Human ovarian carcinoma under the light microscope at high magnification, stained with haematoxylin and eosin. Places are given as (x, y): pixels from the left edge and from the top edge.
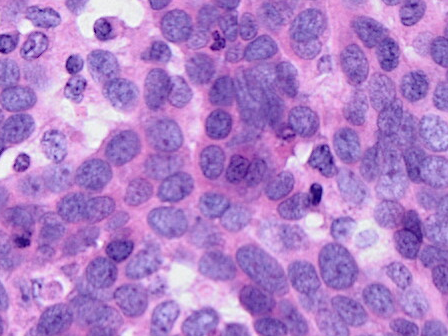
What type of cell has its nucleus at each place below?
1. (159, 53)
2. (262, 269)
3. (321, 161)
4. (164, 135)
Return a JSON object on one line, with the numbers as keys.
{"1": "macrophage or monocyte", "2": "carcinoma cell", "3": "macrophage or monocyte", "4": "carcinoma cell"}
